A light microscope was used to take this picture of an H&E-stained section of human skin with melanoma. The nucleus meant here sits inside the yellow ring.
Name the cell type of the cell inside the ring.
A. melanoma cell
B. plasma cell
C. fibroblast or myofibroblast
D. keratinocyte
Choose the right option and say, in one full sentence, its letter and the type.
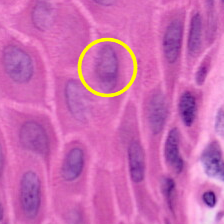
Of the options given, D is right: the cell inside the ring is a keratinocyte.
